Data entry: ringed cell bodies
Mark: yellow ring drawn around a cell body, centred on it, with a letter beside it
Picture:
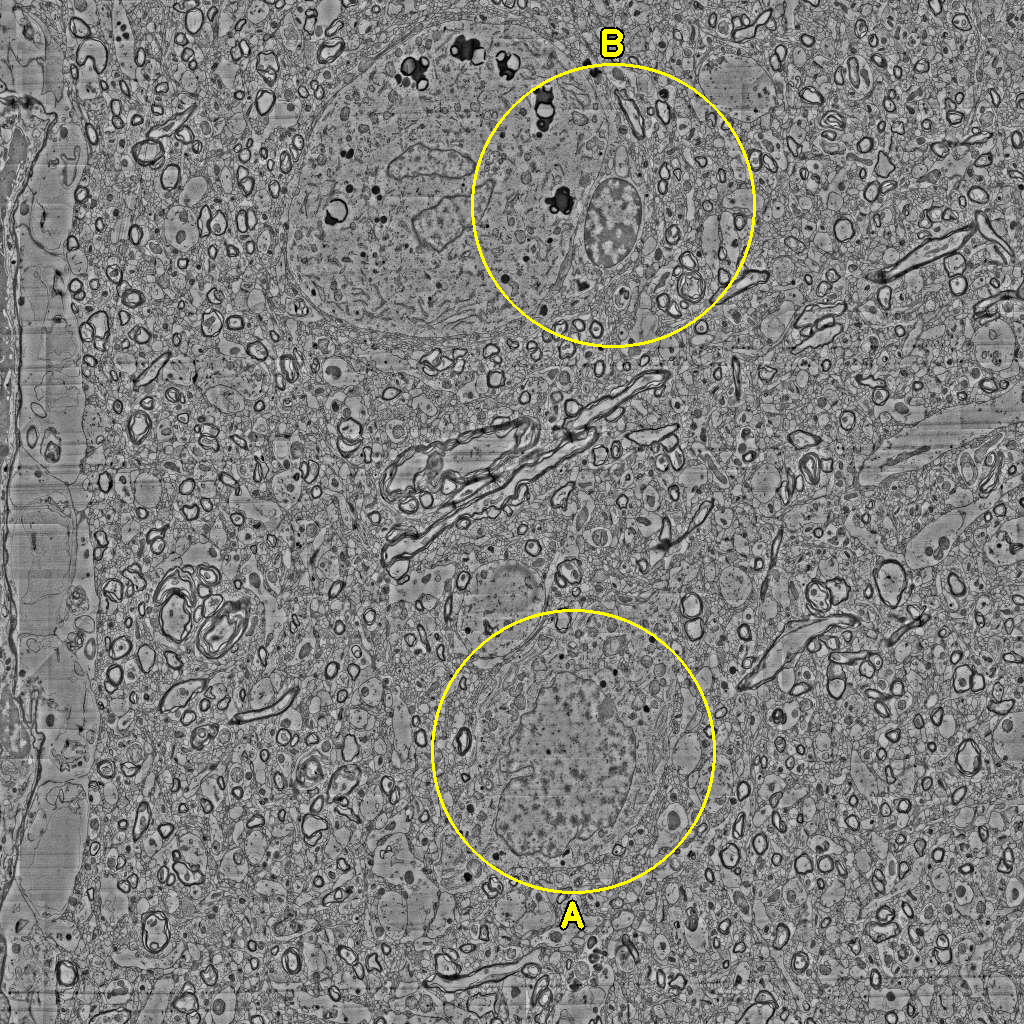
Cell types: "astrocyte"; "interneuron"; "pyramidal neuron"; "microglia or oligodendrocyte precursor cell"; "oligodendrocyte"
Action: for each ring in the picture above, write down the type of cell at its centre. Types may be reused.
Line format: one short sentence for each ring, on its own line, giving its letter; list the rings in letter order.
For ring A, the cell at the centre is an interneuron.
For ring B, the cell at the centre is a microglial cell or oligodendrocyte precursor cell.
